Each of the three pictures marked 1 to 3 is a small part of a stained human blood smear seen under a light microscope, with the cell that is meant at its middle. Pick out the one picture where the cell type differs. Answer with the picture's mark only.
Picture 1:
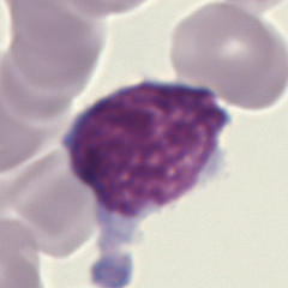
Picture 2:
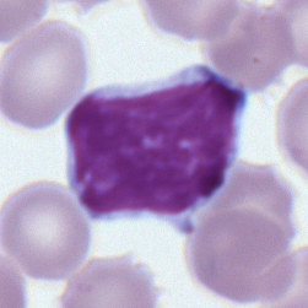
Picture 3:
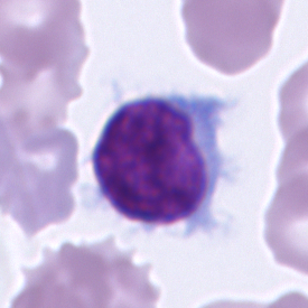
3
